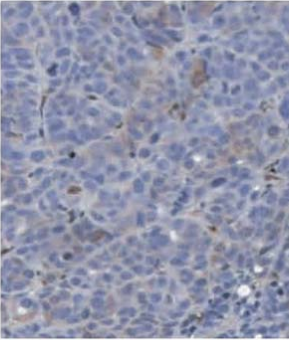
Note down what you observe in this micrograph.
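Tumor tissue made of densely packed polygonal cells growing in solid sheets, with no glandular or follicular structure. The cytoplasm is mostly pale, with only faint brown tinting. Occasional scattered cells are more distinctly brown. Cell borders are faintly outlined, and a few small clear vacuole-like spaces lie among the cells.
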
